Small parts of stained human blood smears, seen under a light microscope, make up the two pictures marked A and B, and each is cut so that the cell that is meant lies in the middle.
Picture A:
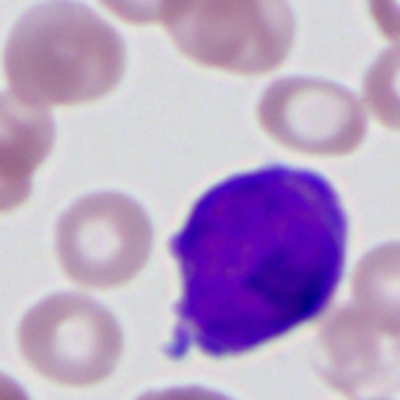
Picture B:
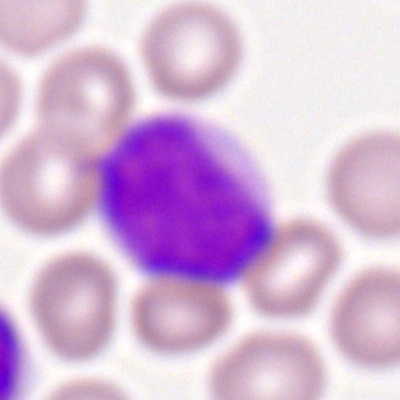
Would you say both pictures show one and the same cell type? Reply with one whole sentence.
Yes, the two pictures both show myeloblasts.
